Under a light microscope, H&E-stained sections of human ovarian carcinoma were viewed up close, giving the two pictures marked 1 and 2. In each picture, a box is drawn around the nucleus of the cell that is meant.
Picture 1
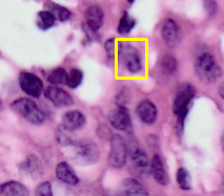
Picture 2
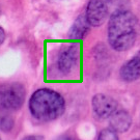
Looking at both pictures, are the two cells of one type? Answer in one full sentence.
No, picture 1 shows a “macrophage or monocyte” and picture 2 shows a carcinoma cell.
